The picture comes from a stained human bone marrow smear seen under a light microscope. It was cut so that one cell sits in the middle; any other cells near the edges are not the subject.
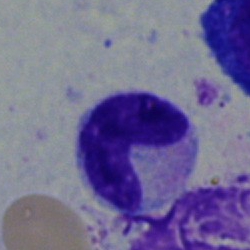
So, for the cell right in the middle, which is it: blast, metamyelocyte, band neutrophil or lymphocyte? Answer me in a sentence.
The cell at the middle of the crop is recognized as a band neutrophil.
